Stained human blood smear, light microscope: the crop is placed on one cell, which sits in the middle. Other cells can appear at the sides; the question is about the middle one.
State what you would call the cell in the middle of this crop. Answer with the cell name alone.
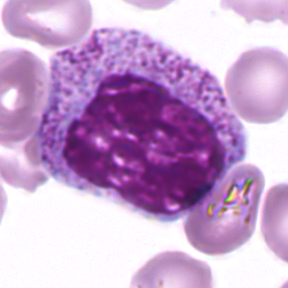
myelocyte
